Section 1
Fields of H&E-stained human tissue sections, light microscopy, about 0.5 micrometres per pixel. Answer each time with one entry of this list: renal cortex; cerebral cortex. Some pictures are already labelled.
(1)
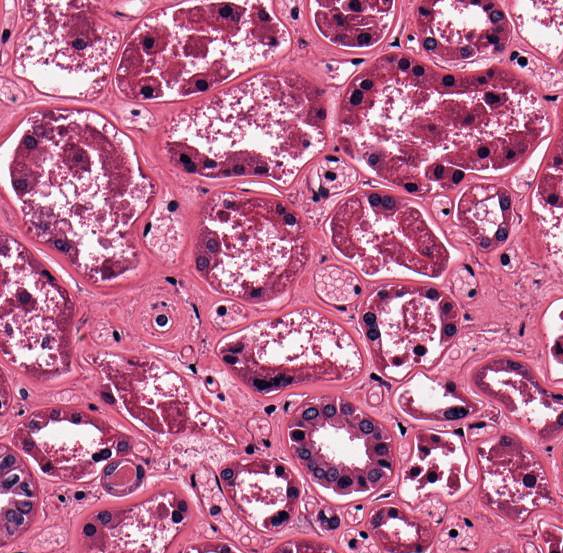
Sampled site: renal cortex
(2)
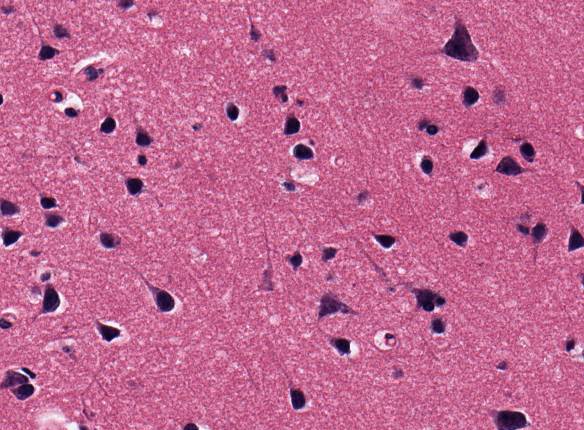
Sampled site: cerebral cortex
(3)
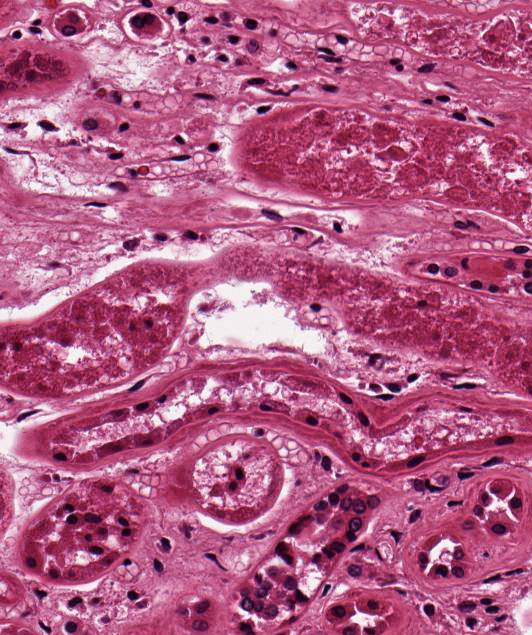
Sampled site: renal cortex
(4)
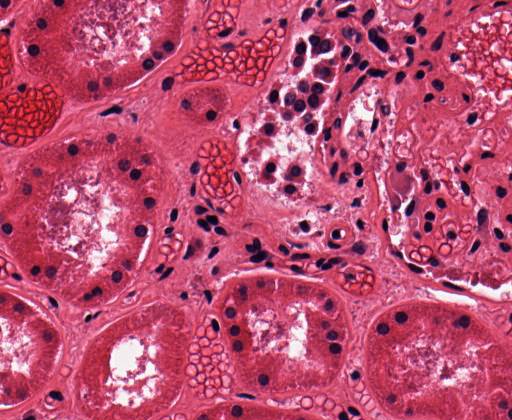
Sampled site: renal cortex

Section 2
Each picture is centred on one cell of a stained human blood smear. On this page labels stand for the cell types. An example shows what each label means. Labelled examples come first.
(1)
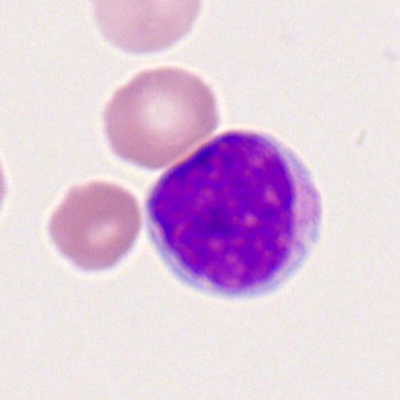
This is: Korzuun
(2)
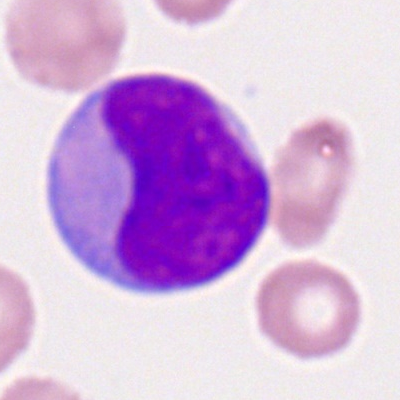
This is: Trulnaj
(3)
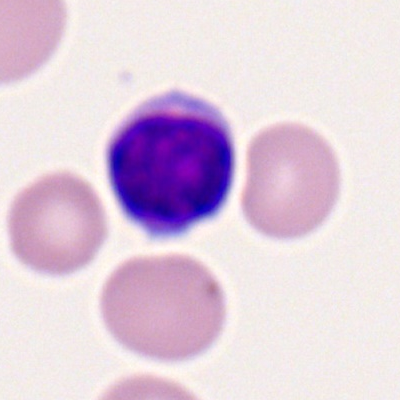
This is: Korzuun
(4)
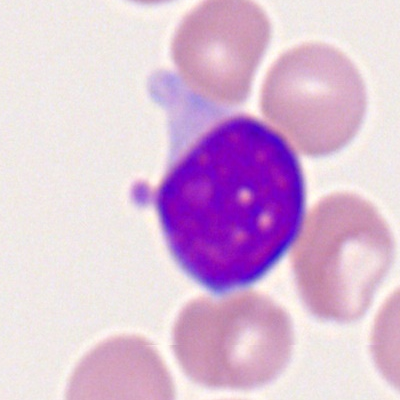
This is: Trulnaj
